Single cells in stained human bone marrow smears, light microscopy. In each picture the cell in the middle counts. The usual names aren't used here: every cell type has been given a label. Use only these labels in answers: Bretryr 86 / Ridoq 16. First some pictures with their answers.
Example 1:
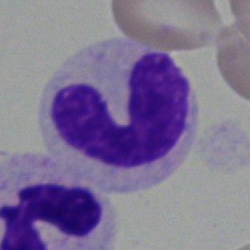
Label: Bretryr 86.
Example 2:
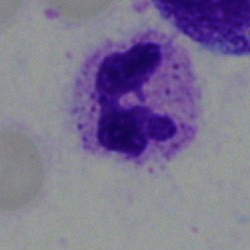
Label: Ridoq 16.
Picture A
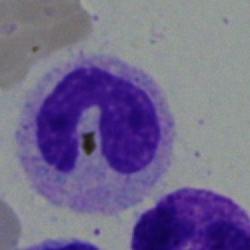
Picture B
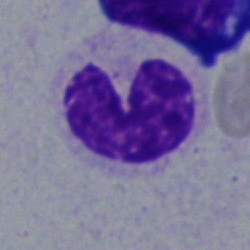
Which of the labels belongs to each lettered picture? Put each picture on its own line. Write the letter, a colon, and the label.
A: Bretryr 86.
B: Bretryr 86.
